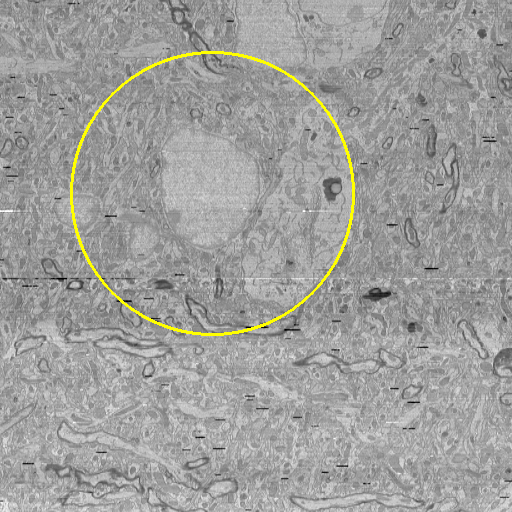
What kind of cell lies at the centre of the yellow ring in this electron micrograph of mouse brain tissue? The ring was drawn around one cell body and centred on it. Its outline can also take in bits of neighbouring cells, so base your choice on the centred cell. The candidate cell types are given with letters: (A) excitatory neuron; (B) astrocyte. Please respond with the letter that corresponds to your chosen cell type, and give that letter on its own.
B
